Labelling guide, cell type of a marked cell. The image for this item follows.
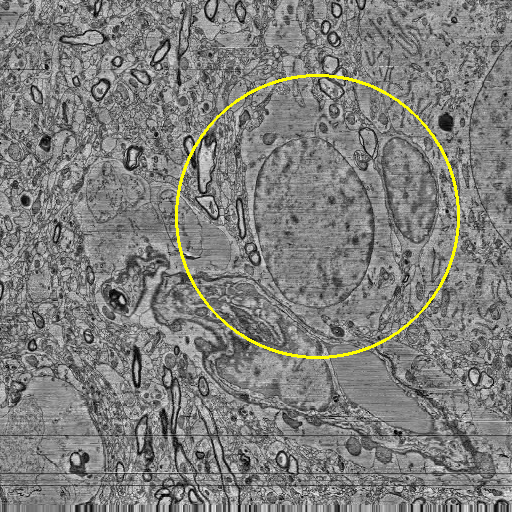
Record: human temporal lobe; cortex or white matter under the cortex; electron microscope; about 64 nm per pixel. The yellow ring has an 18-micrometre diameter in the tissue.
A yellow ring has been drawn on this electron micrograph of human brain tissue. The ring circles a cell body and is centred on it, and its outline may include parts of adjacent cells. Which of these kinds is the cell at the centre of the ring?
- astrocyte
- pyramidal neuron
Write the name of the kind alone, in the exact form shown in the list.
astrocyte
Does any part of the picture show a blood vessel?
Yes, one shows.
